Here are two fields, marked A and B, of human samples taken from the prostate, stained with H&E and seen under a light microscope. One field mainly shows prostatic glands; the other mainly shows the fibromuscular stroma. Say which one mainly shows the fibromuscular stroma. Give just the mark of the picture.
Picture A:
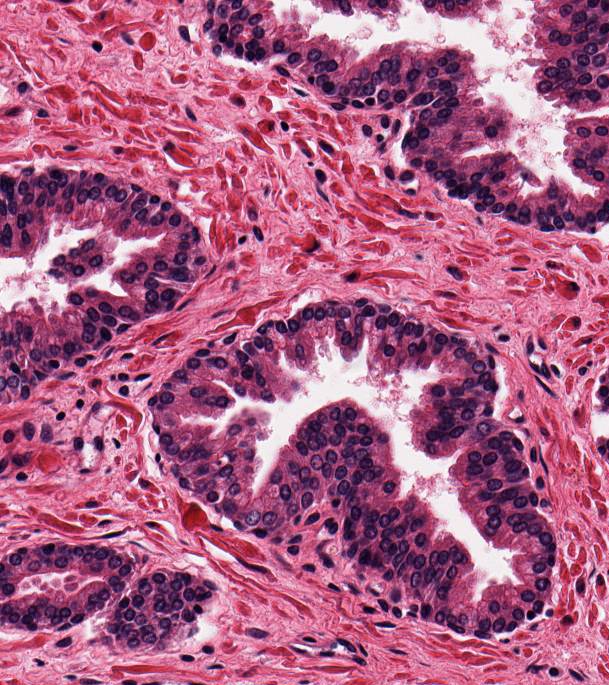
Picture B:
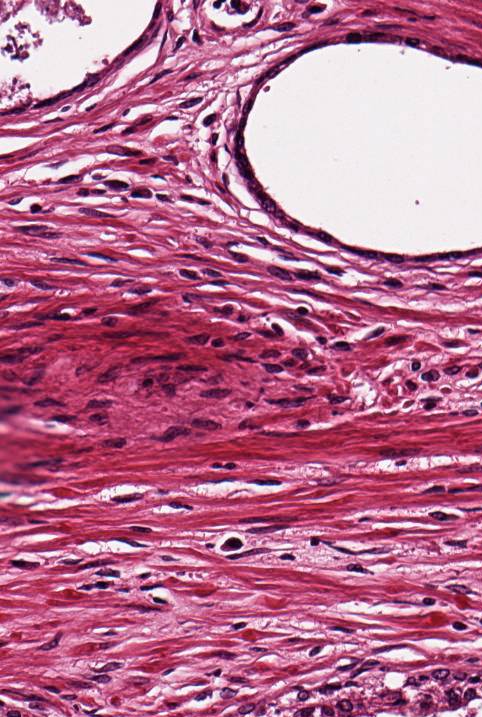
B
